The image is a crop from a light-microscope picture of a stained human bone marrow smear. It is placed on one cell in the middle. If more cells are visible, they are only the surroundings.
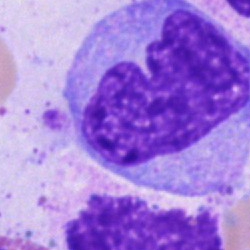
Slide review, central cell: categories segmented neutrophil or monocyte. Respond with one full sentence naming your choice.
The middle cell in this particular crop is a monocyte.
